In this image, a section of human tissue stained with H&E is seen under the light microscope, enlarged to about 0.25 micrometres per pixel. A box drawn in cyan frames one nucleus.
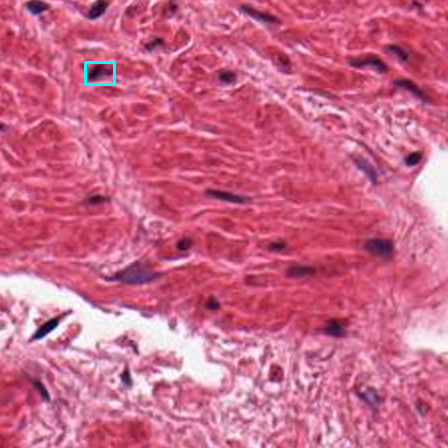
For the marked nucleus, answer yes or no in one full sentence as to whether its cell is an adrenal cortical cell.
No, as shown here, the marked nucleus is not part of an adrenal cortical cell.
